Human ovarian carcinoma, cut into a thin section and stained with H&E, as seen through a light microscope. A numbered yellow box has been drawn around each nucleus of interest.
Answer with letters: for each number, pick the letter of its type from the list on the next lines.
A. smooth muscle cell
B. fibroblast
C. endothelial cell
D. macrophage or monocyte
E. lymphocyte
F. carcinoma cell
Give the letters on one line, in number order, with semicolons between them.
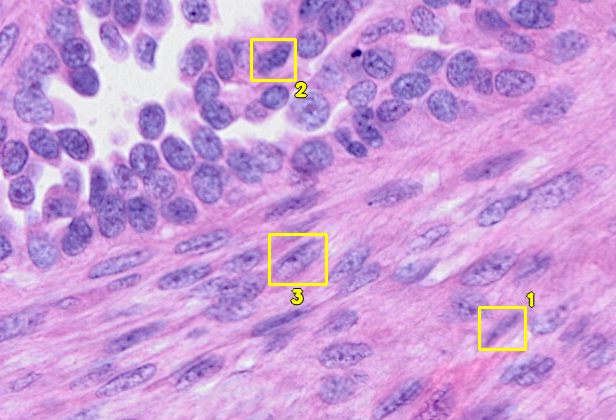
B; F; B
